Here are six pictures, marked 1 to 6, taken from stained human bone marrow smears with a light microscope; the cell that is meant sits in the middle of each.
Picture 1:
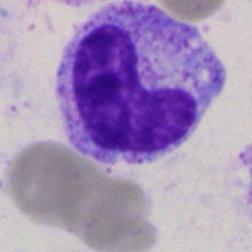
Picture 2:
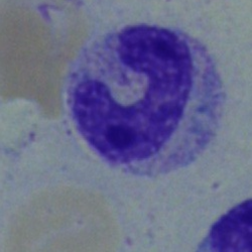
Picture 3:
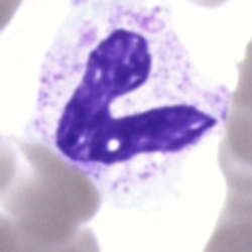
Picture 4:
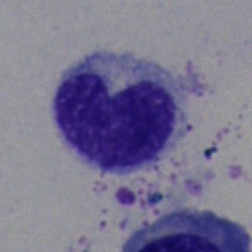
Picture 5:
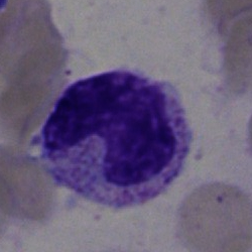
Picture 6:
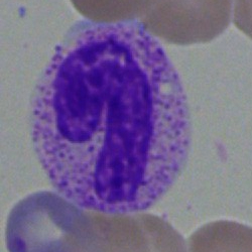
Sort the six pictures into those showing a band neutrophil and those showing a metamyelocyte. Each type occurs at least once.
1: metamyelocyte
2: band neutrophil
3: band neutrophil
4: metamyelocyte
5: band neutrophil
6: band neutrophil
